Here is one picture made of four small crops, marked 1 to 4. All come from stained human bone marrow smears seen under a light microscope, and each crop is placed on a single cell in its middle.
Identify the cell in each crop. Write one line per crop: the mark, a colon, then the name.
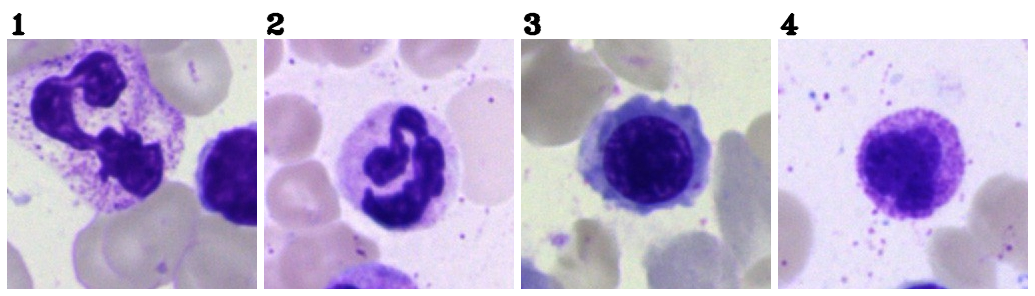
1: segmented neutrophil
2: segmented neutrophil
3: erythroblast
4: basophil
